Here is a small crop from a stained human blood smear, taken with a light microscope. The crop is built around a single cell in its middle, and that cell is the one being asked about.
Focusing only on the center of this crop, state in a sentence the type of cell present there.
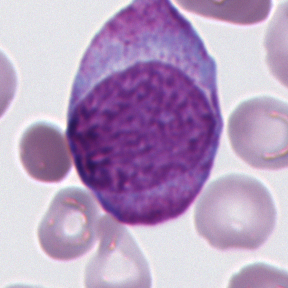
As for the cell in the middle, it is an atypical promyelocyte.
